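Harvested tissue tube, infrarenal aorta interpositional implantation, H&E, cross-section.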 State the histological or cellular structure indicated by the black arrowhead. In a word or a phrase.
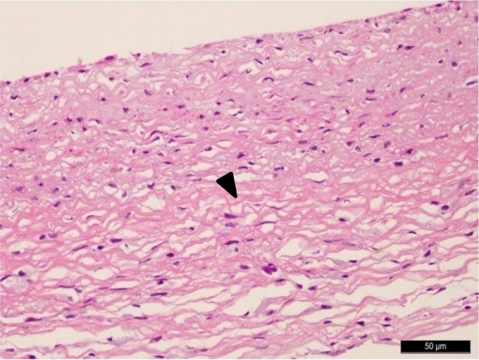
Wave-like collagen component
